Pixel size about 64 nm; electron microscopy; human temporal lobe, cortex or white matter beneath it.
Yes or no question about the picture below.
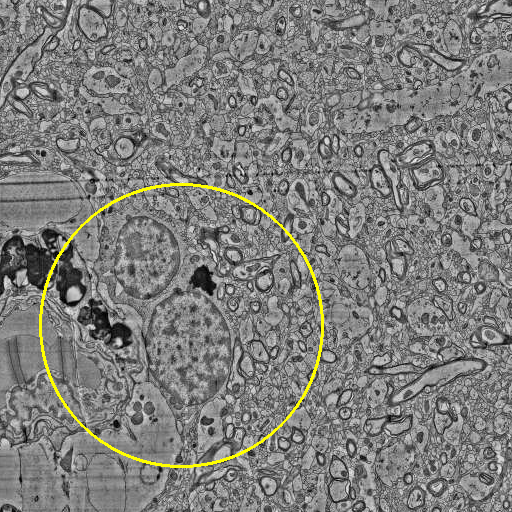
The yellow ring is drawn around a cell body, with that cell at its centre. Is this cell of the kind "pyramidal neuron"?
no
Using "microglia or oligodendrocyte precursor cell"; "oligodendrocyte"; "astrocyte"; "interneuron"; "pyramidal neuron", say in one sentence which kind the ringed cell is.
In this picture, the ring is centred on an oligodendrocyte.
